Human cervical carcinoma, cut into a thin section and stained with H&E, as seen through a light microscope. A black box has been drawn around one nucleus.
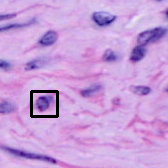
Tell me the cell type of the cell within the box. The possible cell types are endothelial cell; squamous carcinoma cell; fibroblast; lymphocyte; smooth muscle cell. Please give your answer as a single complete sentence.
By cell type, the cell within the box is a smooth muscle cell.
